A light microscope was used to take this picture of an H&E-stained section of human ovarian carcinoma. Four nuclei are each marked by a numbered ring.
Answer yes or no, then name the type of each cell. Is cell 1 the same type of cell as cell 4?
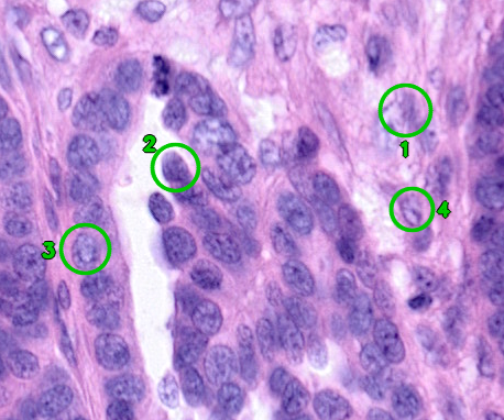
Yes, in the case of cells 1 and 4, both are fibroblasts.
